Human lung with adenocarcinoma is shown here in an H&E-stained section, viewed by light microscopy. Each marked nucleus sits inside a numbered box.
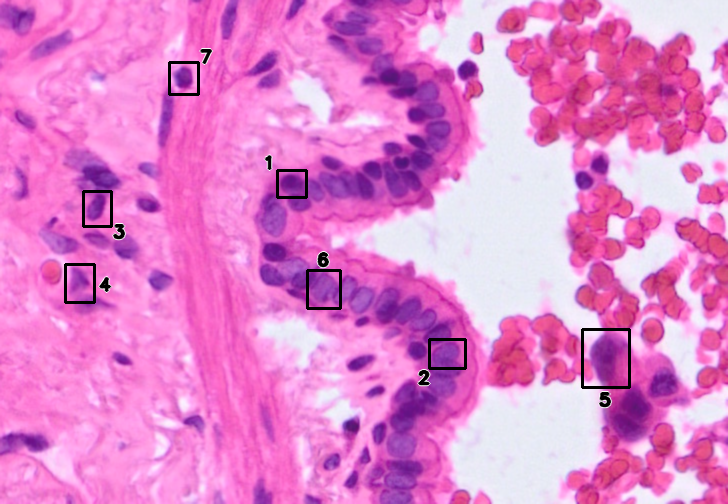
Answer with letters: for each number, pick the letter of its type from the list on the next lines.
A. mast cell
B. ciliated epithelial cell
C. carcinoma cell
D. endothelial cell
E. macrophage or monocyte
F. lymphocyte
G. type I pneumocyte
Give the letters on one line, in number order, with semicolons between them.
B; B; A; D; C; B; F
